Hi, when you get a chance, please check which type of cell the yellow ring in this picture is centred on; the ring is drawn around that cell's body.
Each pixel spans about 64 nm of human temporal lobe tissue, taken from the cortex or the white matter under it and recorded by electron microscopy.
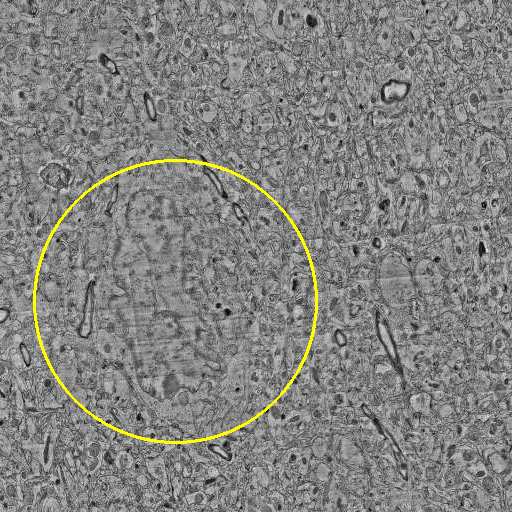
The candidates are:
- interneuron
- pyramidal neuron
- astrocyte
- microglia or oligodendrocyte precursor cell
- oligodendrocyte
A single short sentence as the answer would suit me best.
The ring is drawn around the body of an interneuron.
